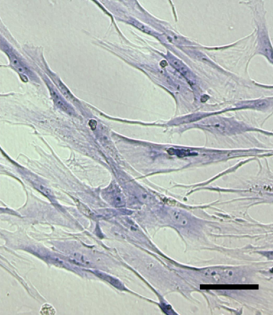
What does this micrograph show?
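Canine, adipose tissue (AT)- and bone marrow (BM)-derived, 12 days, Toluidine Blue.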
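This is a monolayer culture of adherent mesenchymal stromal cells with a fibroblast-like form. The cells are elongated and spindle-shaped, with long, thin, tapering processes that reach toward neighbouring cells. They tend to run in loosely parallel bundles, with clear gaps of empty dish between some of them. The cytoplasm takes up a pale purple to violet tint, and oval nuclei stand out as slightly darker areas within the cell bodies. Only a few small round refractile bodies lie scattered over the cells.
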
